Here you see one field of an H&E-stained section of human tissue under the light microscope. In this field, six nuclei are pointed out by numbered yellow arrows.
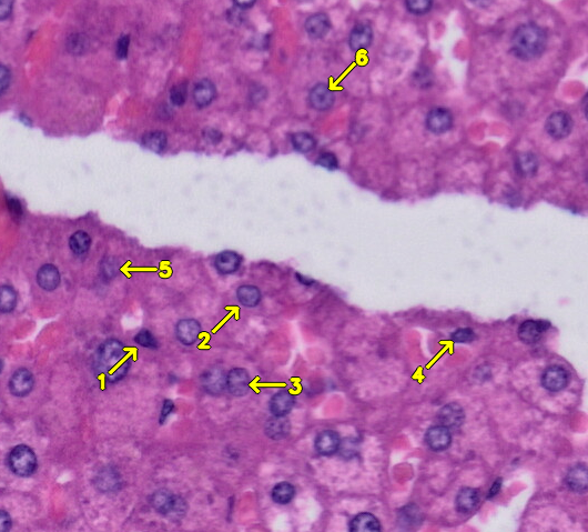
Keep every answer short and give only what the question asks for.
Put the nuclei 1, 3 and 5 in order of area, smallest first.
1, 5, 3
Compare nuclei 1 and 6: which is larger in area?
6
